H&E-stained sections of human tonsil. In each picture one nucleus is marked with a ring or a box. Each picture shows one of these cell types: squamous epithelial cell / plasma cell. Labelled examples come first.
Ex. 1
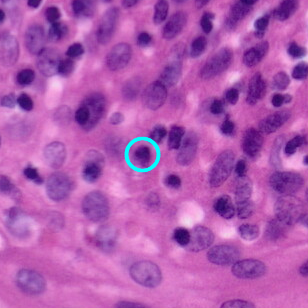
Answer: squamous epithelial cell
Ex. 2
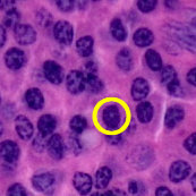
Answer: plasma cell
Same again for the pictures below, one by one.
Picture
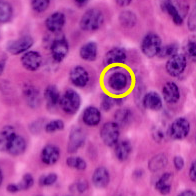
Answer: plasma cell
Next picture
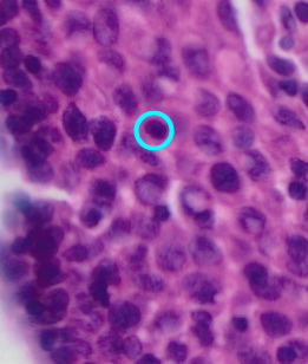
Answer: squamous epithelial cell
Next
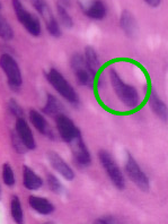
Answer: squamous epithelial cell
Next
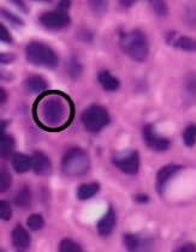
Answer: squamous epithelial cell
